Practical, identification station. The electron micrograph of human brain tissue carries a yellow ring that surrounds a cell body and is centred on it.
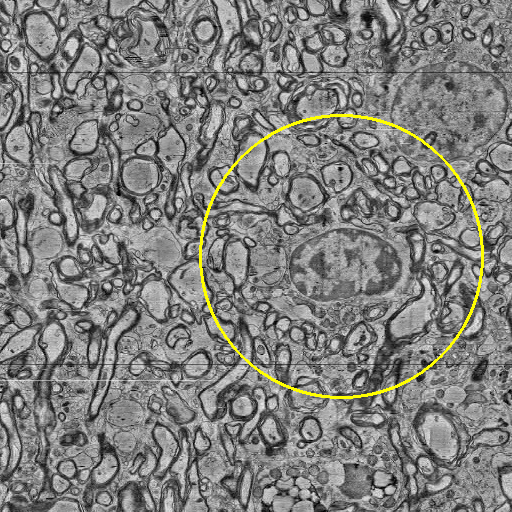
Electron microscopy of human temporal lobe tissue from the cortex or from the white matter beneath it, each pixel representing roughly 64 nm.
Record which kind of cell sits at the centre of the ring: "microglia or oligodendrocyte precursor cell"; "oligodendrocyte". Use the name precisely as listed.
microglia or oligodendrocyte precursor cell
